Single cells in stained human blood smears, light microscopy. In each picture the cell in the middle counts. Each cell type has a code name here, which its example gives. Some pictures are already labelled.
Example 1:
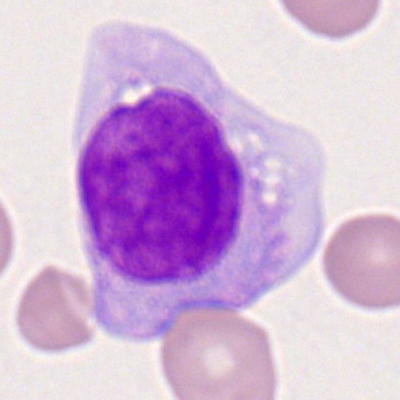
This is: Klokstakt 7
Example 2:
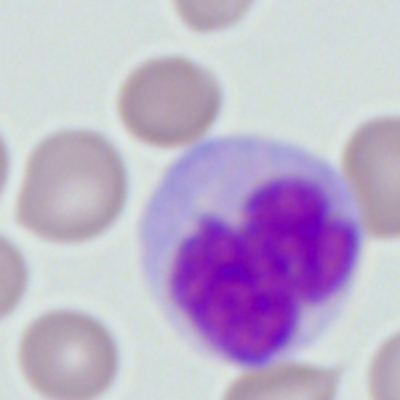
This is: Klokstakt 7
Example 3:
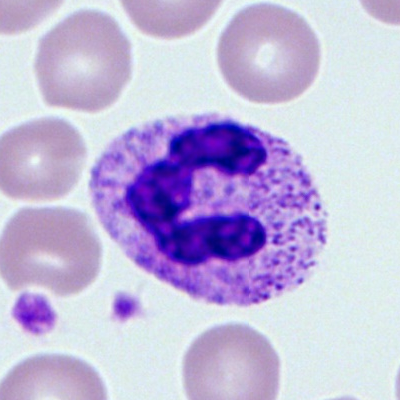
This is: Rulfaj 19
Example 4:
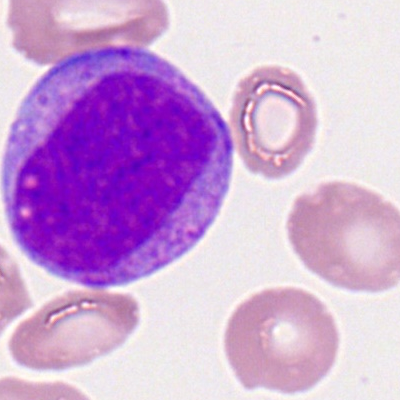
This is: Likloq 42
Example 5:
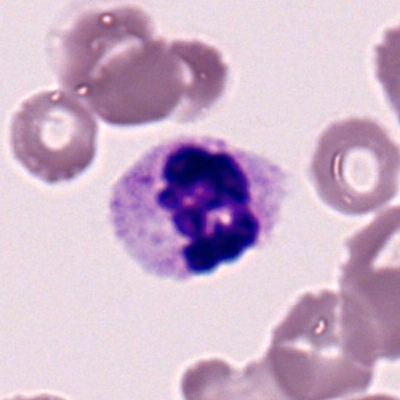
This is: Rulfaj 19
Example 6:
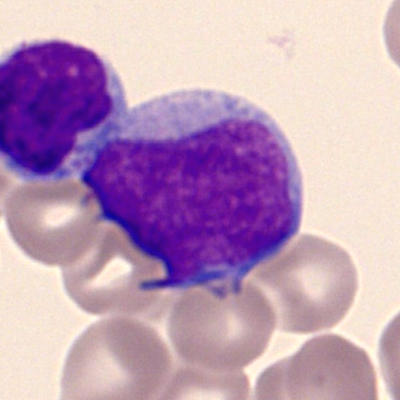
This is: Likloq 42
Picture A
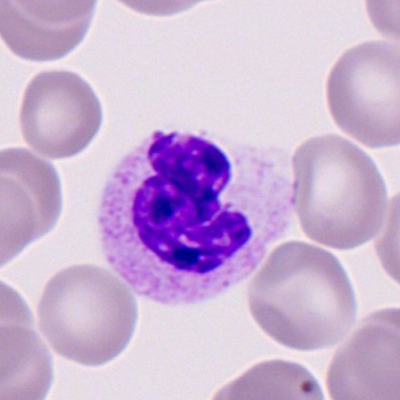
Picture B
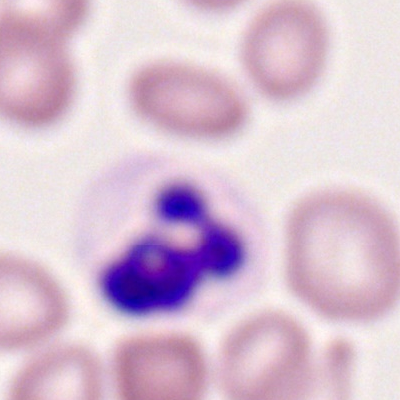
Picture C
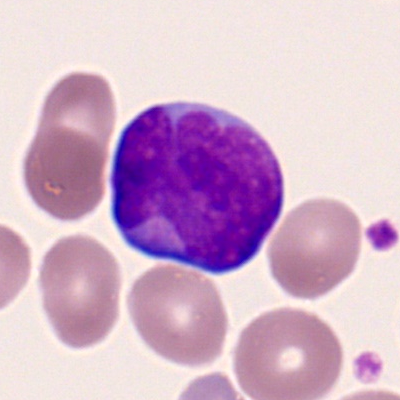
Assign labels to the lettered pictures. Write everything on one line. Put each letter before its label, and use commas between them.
A Rulfaj 19, B Rulfaj 19, C Likloq 42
